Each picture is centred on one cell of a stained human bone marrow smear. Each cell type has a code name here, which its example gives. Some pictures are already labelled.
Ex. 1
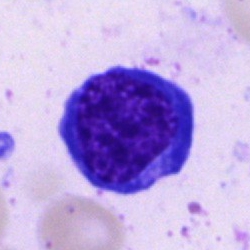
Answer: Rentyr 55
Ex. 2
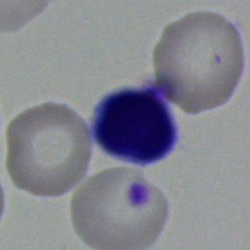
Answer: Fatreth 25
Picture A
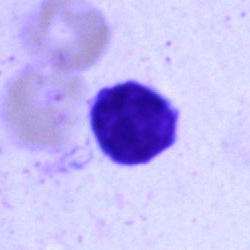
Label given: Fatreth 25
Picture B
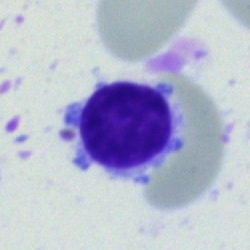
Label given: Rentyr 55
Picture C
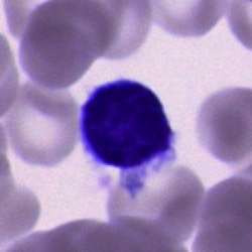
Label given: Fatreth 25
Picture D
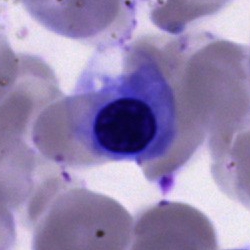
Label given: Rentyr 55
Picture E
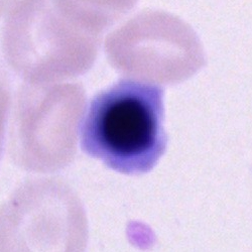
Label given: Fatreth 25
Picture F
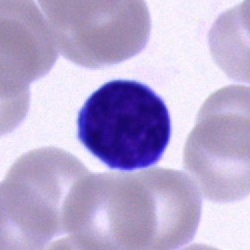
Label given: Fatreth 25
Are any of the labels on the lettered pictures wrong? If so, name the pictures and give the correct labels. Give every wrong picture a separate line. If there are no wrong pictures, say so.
Wrong: B (Rentyr 55); correct: Fatreth 25
Wrong: E (Fatreth 25); correct: Rentyr 55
